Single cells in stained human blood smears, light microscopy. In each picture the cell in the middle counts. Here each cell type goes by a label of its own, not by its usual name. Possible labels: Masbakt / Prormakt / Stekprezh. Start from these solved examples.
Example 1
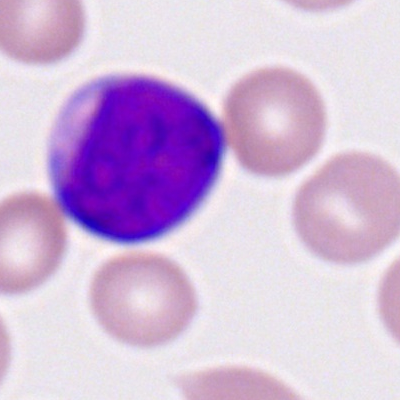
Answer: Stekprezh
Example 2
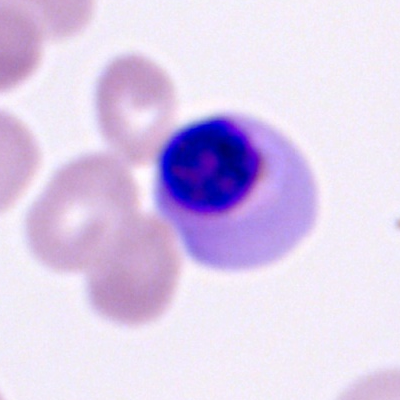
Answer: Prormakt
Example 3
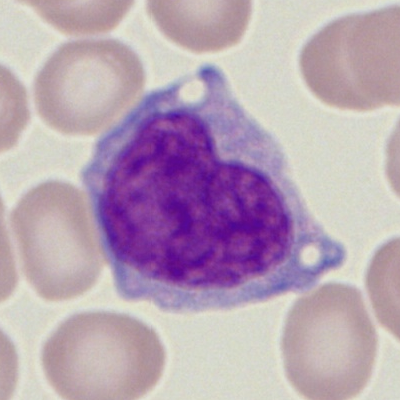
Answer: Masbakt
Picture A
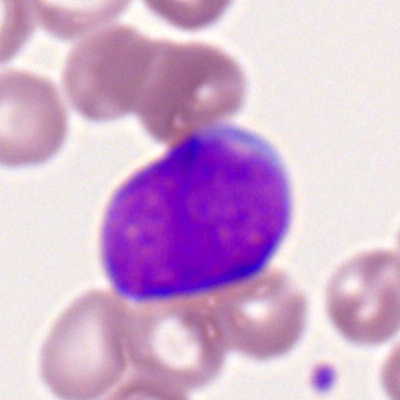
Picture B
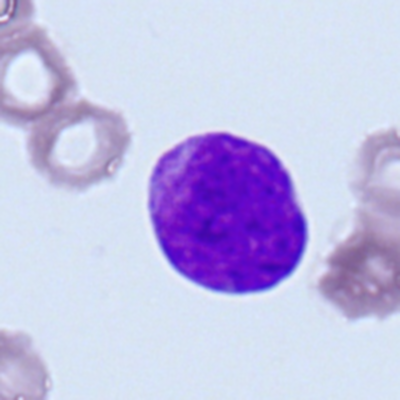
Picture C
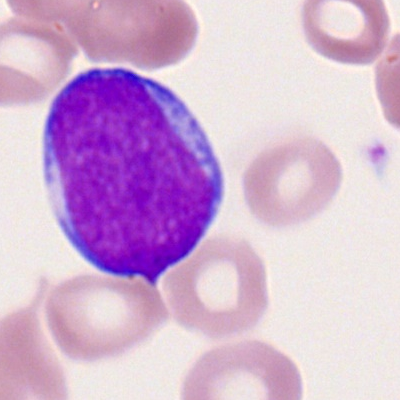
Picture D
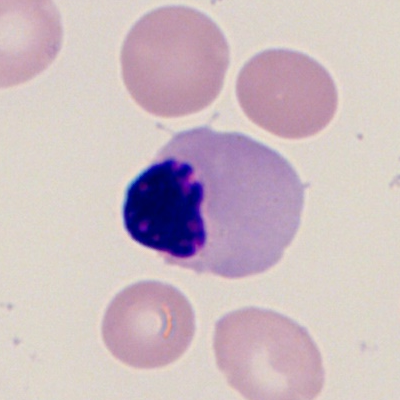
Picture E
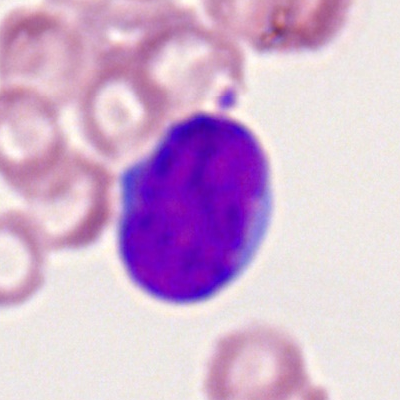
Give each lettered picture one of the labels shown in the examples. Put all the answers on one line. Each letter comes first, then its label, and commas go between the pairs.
A Stekprezh, B Stekprezh, C Stekprezh, D Prormakt, E Stekprezh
